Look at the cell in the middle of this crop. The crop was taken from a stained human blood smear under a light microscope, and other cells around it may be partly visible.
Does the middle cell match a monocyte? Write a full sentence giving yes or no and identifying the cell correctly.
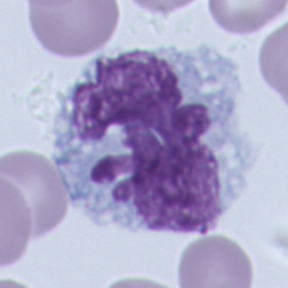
Yes, the cell under consideration, the one in the middle, is a monocyte.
